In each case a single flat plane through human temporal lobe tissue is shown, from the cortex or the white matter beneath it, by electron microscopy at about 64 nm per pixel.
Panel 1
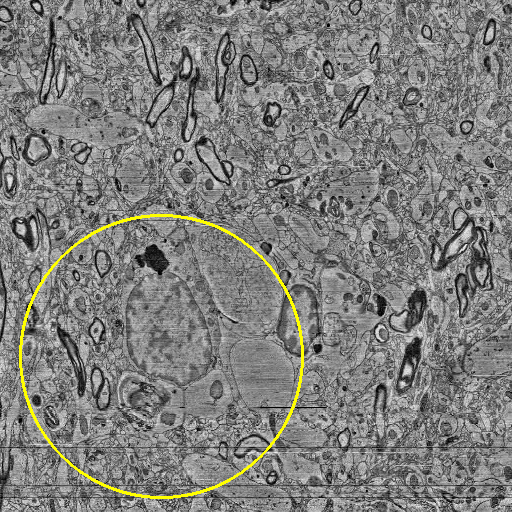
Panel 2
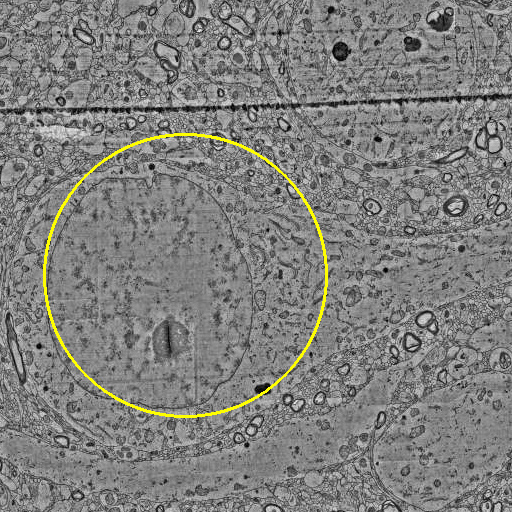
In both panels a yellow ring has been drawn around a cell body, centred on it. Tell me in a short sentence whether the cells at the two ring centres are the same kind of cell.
No, they are two kinds of cell.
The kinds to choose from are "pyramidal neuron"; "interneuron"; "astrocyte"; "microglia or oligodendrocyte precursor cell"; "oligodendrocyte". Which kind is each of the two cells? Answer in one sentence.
Of the two, the first cell is an oligodendrocyte and the second cell is a pyramidal neuron.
